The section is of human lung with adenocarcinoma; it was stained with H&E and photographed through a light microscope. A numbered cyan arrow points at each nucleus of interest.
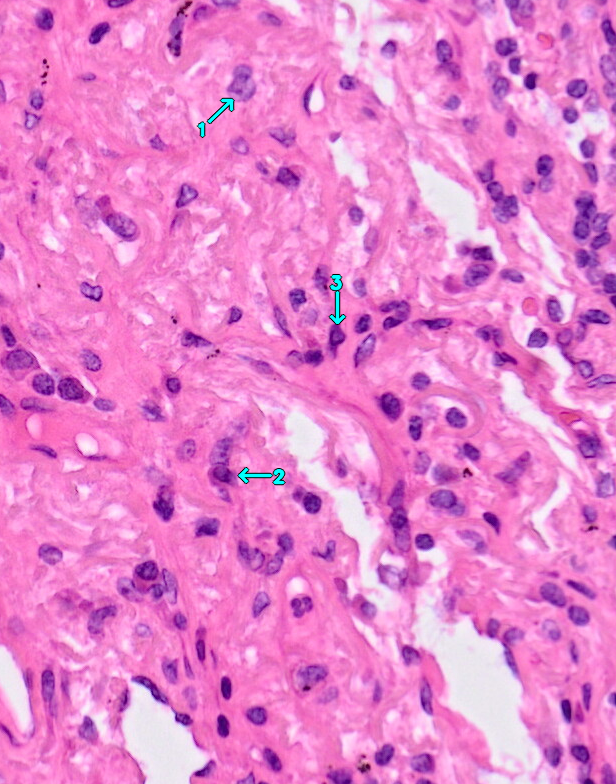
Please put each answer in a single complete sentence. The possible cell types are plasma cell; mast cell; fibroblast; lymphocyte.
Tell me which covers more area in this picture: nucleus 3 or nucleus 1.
The larger nucleus is 1, at roughly 2 times the area of 3.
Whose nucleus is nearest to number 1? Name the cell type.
The nearest nucleus to number 1 belongs to a mast cell.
